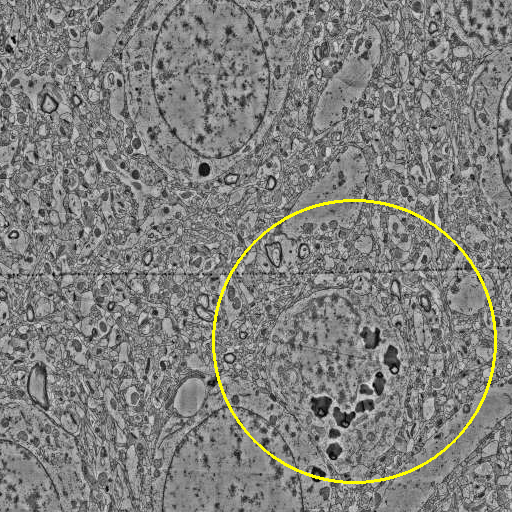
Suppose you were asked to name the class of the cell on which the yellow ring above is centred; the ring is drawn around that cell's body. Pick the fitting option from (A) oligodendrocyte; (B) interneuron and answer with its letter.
B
